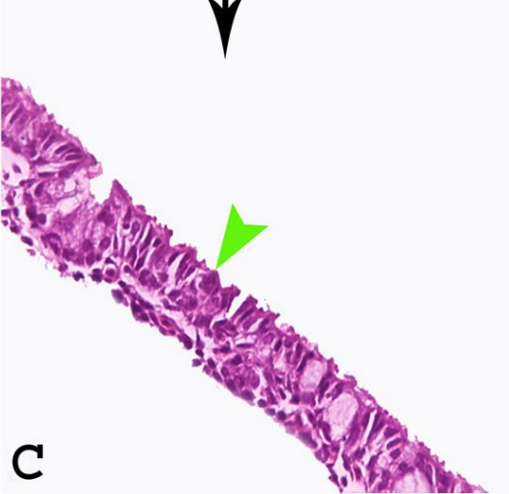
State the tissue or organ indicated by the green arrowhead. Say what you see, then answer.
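A single sheet of tall columnar cells with nuclei at different heights. A fringe of fine hair-like projections on the free surface. Pale goblet-like cells scattered within the sheet.
Ciliated pseudostratified columnar epithelium.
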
